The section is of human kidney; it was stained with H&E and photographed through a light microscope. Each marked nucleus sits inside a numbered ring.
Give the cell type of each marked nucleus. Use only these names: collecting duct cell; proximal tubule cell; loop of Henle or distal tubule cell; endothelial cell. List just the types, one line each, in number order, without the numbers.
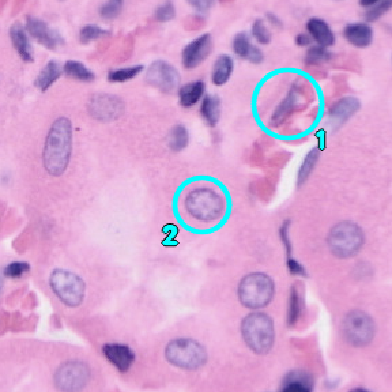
endothelial cell
proximal tubule cell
